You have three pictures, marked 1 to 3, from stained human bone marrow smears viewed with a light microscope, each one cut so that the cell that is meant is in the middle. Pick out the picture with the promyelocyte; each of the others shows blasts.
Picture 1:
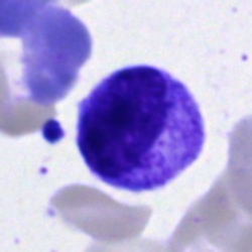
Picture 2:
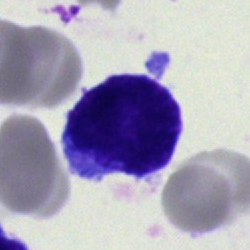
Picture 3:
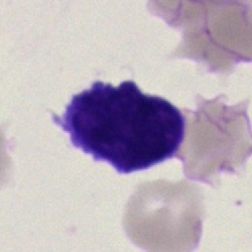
1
